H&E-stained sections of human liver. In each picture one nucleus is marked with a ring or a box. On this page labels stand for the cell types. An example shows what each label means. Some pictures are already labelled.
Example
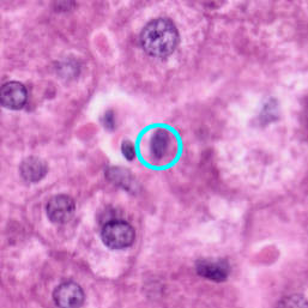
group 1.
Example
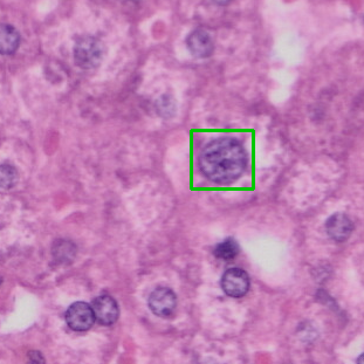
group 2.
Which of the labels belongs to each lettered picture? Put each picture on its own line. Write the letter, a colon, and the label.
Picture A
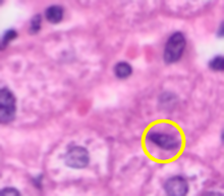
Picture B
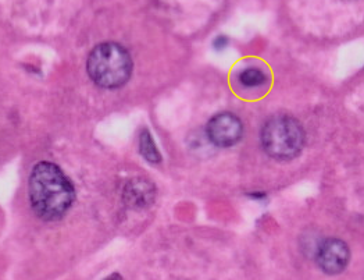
A: group 1.
B: group 1.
